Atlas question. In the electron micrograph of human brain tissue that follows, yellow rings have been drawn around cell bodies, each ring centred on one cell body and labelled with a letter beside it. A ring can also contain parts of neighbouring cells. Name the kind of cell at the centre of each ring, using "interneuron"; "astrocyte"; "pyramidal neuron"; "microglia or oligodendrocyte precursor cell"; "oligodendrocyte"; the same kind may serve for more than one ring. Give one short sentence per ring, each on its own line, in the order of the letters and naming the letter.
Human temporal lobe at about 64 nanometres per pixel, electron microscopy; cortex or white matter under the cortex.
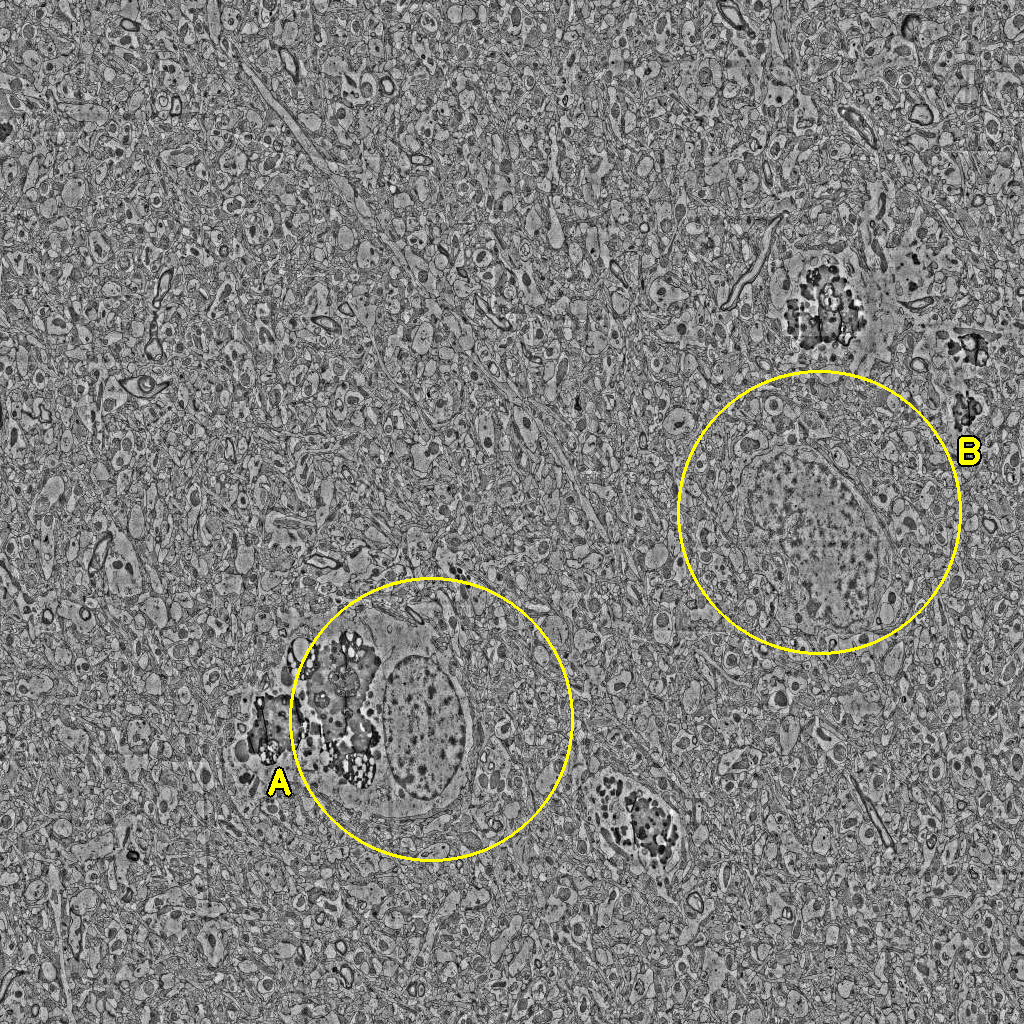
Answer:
For ring A, the cell at the centre is an astrocyte.
For ring B, the cell at the centre is an interneuron.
